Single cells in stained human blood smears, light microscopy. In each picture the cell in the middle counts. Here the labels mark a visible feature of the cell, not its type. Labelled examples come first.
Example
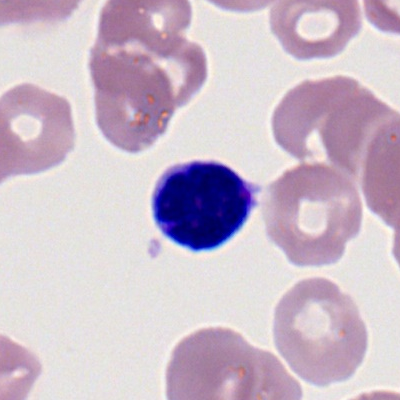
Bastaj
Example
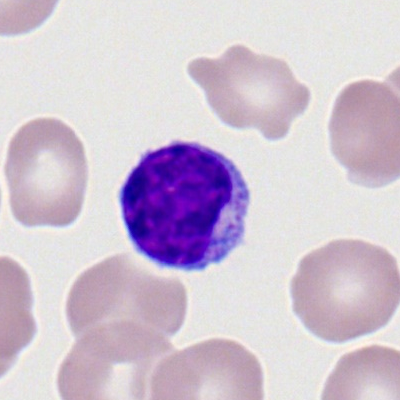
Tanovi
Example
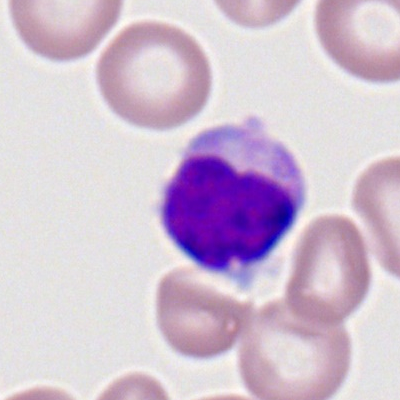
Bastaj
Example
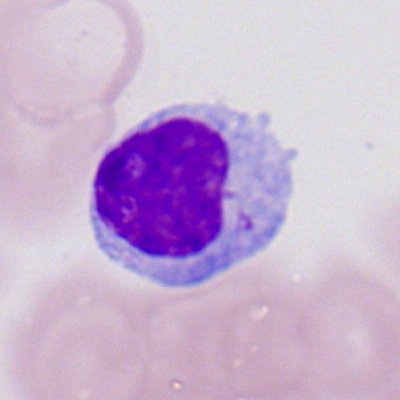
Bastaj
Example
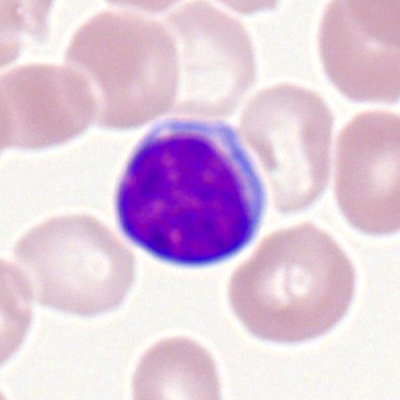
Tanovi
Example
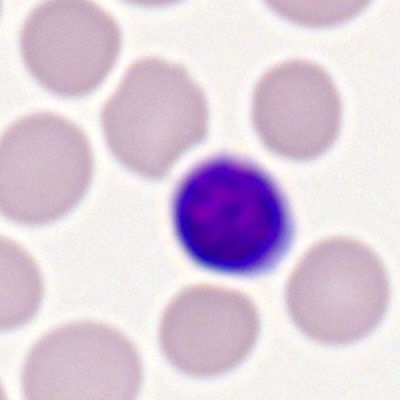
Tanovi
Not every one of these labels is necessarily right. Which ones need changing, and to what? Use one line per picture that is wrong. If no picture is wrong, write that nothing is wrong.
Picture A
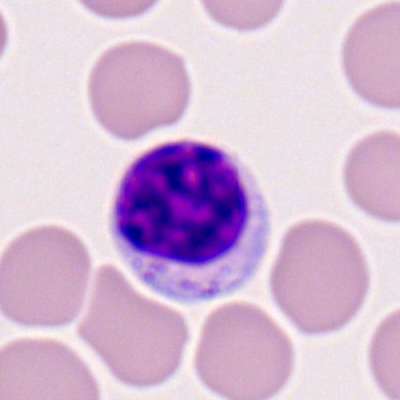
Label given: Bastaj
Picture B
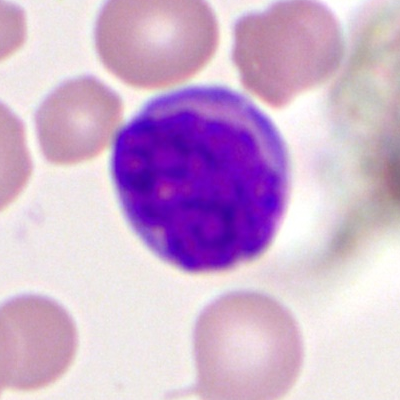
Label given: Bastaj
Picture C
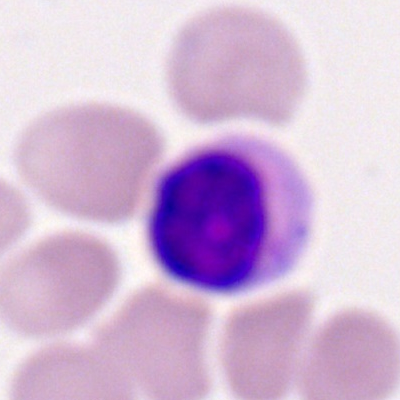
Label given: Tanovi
A: Tanovi, not Bastaj
B: Tanovi, not Bastaj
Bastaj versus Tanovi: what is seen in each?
Bastaj: ragged outline or projections; Tanovi: smooth outline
